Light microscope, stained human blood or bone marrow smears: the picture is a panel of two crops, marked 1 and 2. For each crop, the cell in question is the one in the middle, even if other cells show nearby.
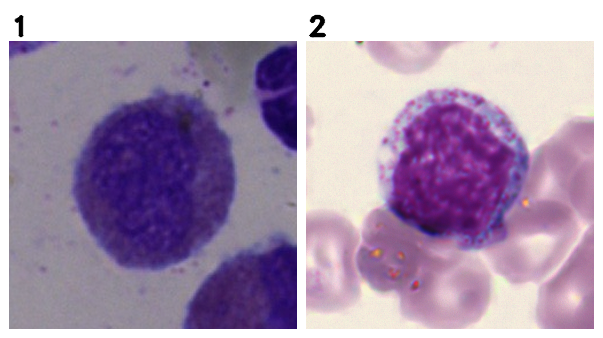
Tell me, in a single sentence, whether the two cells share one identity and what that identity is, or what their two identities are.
No, for crop 1 the cell is an eosinophil, and for crop 2 it is a myelocyte.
